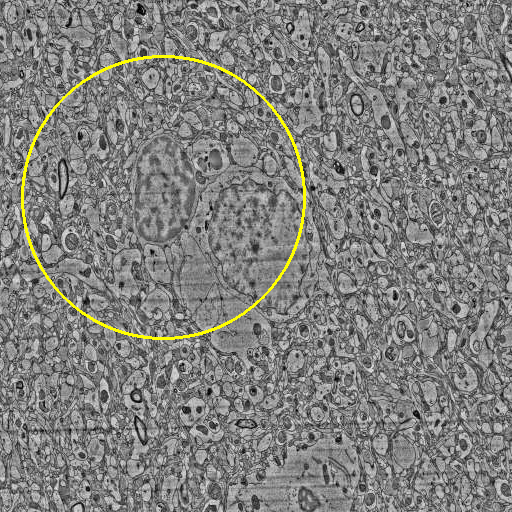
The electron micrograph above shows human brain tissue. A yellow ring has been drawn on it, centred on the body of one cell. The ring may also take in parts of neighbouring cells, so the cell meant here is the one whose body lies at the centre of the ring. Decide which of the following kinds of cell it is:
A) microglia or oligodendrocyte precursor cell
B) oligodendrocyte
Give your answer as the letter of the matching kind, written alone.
B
